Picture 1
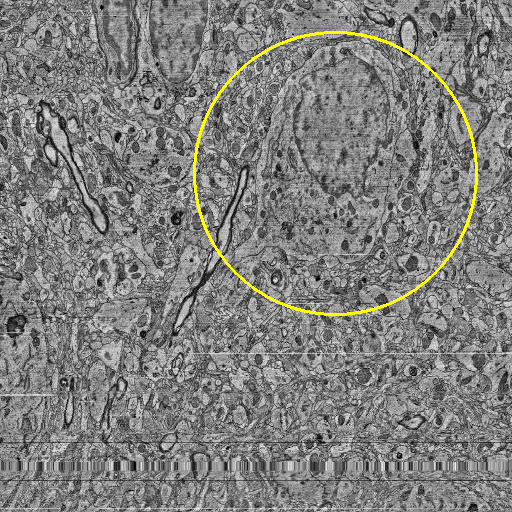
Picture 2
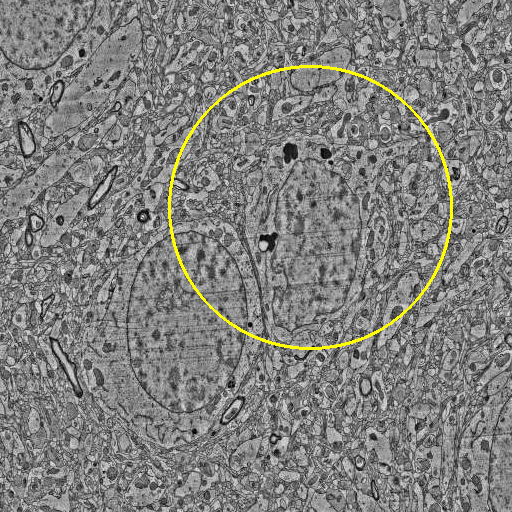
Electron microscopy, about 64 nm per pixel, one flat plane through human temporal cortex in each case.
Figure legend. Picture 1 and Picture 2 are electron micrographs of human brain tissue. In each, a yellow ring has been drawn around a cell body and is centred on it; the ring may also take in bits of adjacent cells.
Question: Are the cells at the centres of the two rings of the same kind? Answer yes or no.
yes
